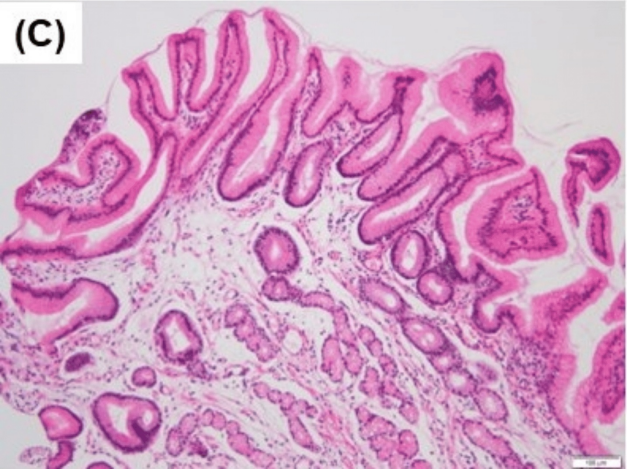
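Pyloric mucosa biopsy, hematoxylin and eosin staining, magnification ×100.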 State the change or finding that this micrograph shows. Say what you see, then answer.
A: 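Foveolar hyperplasia. The surface pits are elongated and tortuous, taking up much of the mucosal height. The pits are lined by tall columnar cells with pale pink apical mucin.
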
